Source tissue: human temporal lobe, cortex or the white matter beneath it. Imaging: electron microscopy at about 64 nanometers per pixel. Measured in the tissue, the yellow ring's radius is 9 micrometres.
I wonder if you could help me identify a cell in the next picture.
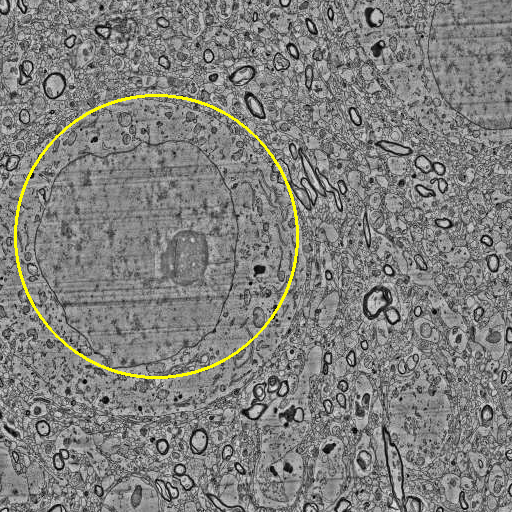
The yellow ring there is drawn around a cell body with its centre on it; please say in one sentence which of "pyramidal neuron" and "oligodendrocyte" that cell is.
The yellow ring is centred on a pyramidal neuron.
